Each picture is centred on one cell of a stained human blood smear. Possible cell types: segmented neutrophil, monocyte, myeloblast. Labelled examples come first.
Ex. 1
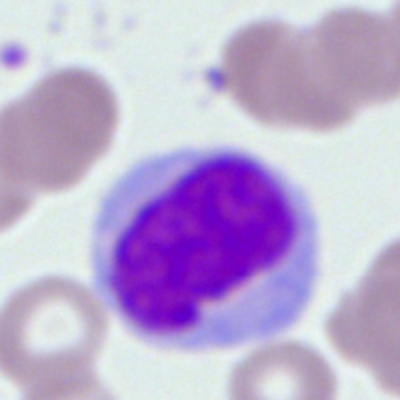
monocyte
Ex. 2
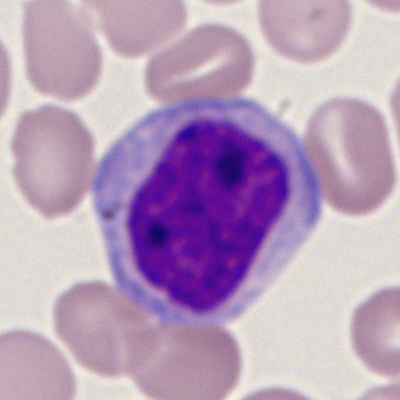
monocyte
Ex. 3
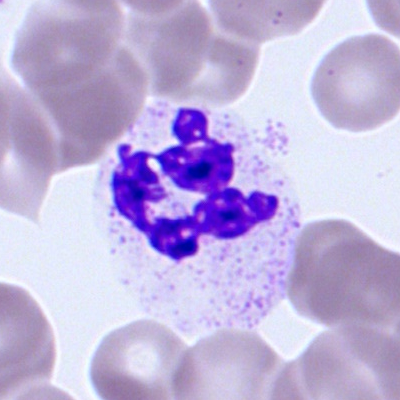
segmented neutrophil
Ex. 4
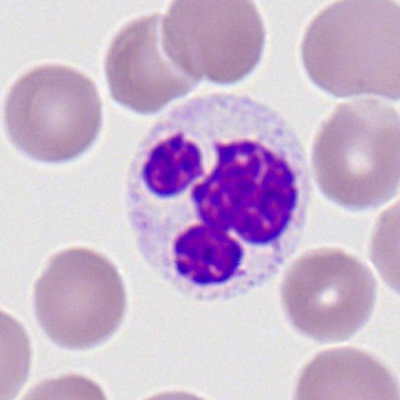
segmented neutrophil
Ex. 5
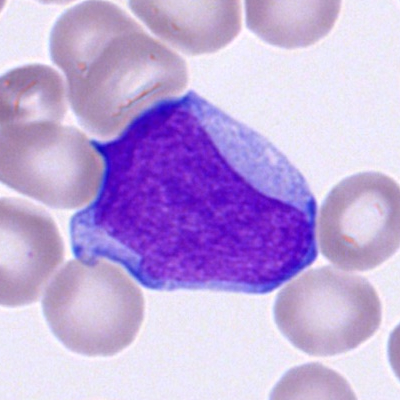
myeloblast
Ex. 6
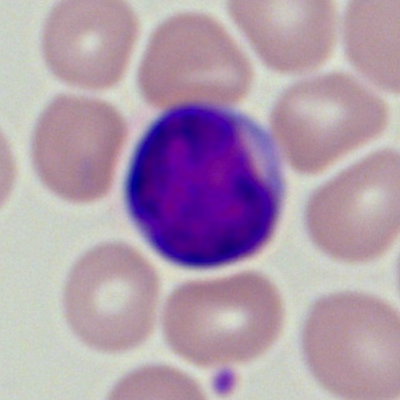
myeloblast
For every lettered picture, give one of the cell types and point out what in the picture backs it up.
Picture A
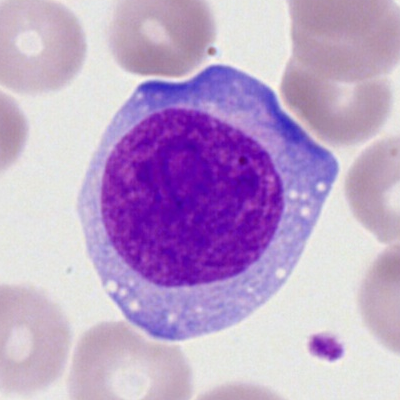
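myeloblast. The cytoplasm is blue, and it is deepest blue along the upper edge of the cell.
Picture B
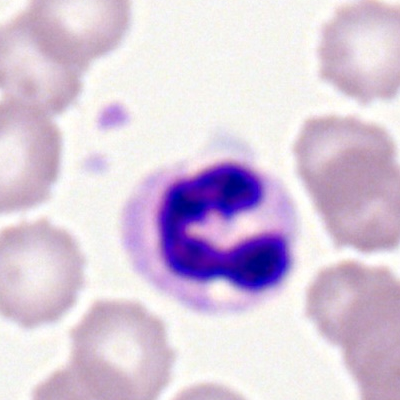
segmented neutrophil. The nucleus is a thick curved band shaped like a C, open toward the right.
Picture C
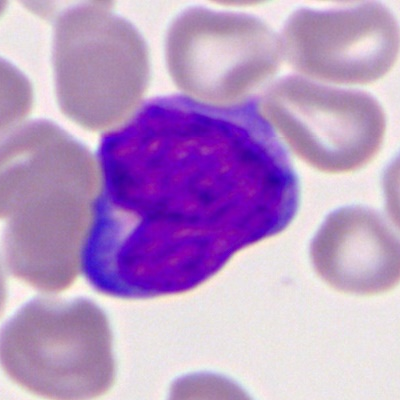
myeloblast. The cytoplasm is a thin blue rim, widest at the lower left.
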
